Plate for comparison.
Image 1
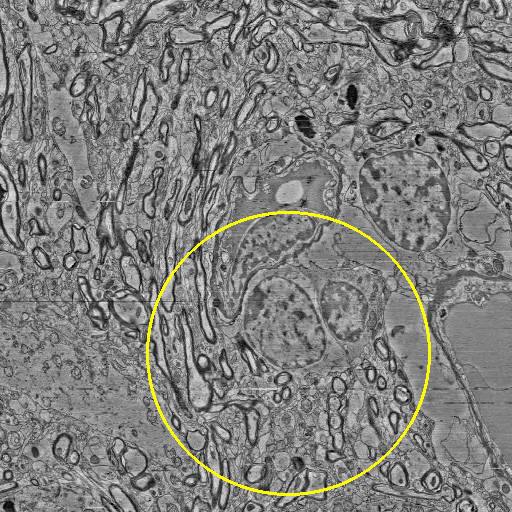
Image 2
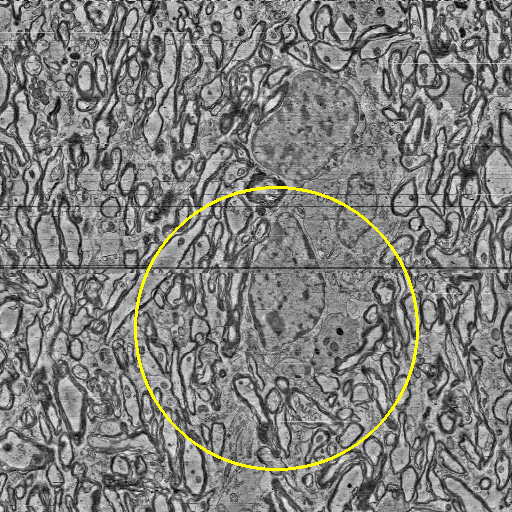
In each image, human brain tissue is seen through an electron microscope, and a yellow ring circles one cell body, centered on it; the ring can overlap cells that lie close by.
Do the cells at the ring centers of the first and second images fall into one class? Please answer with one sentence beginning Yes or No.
Yes, the first and second images show a single class of cell at the ring centers.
